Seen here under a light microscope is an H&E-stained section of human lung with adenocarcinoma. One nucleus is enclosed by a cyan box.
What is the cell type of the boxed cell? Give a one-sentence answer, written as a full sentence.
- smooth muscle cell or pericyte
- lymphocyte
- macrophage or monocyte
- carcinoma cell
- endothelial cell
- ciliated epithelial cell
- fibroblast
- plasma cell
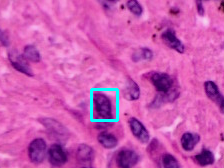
As a matter of cell type, the boxed cell is a plasma cell.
